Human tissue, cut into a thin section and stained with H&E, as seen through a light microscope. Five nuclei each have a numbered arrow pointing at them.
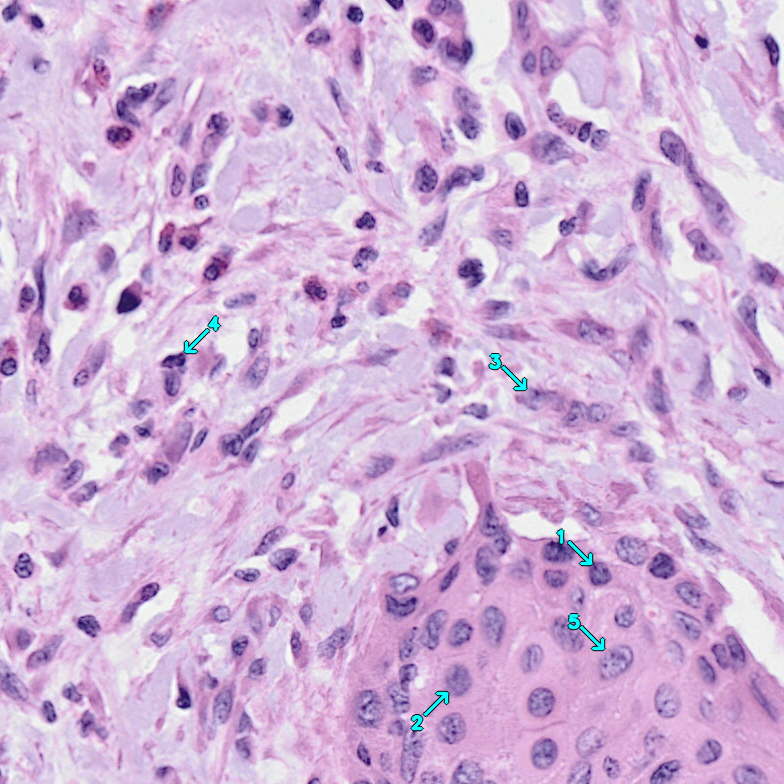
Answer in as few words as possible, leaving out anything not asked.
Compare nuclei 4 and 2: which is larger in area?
2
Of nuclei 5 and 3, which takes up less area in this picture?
3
